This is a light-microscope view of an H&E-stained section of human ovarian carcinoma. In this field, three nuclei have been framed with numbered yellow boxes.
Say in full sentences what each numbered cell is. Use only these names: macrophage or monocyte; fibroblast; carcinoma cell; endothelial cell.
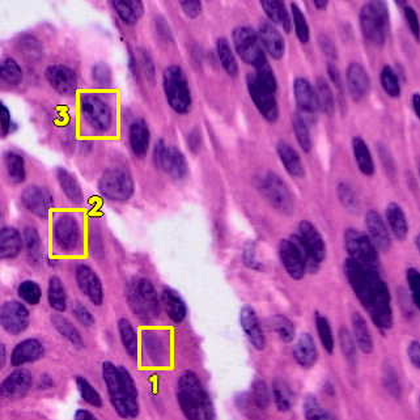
Cells 1 and 2 are carcinoma cells. Cell 3 is a macrophage or monocyte.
